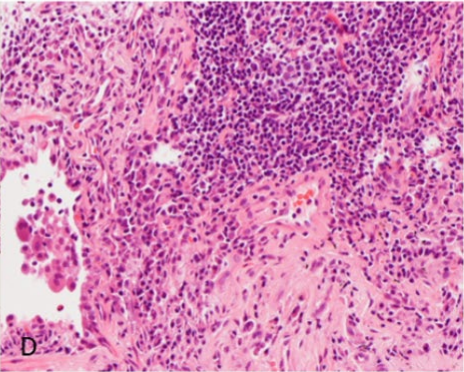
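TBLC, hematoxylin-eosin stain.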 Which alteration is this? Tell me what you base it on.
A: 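A dense sheet of small round cells with dark round nuclei and scant cytoplasm fills the upper middle. These small cells spread into the surrounding pink stroma. On this evidence: infiltration by lymphocytes.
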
